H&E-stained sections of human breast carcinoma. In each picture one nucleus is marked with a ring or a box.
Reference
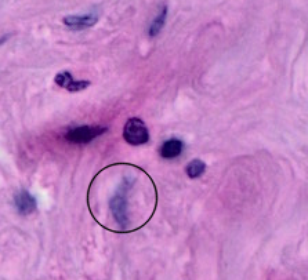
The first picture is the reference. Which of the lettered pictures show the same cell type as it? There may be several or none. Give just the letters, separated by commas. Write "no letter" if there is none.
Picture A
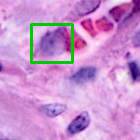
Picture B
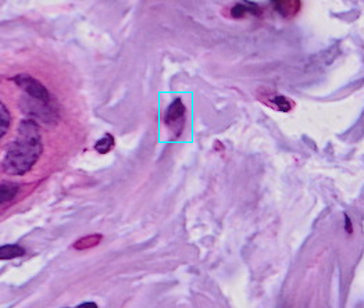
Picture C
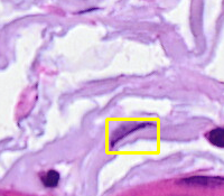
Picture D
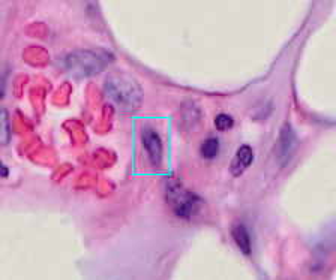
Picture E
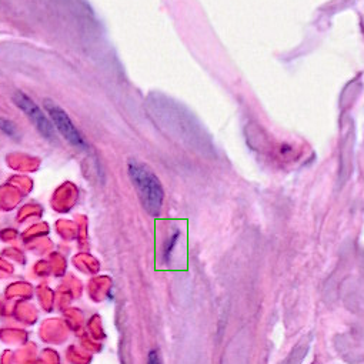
B, C, E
